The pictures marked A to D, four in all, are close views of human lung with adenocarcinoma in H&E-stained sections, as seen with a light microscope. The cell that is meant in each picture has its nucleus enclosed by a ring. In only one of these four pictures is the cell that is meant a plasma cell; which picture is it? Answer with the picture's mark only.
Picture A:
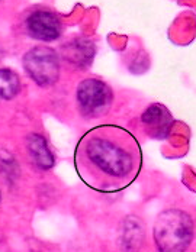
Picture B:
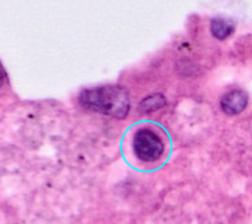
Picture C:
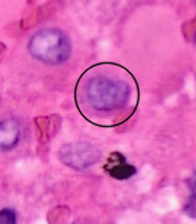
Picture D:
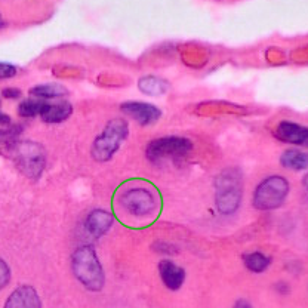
B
